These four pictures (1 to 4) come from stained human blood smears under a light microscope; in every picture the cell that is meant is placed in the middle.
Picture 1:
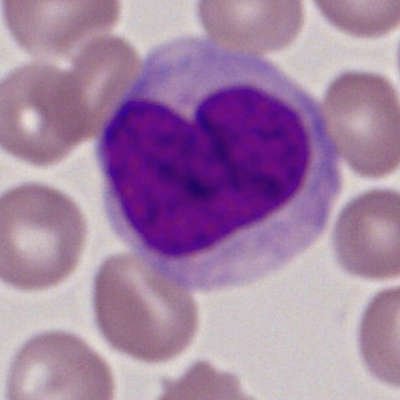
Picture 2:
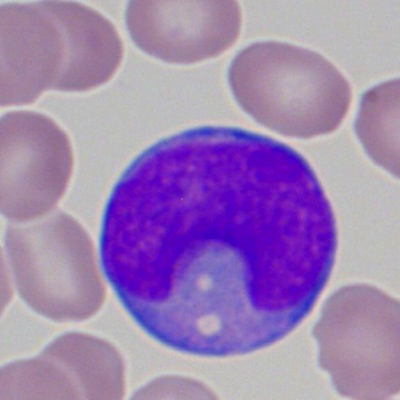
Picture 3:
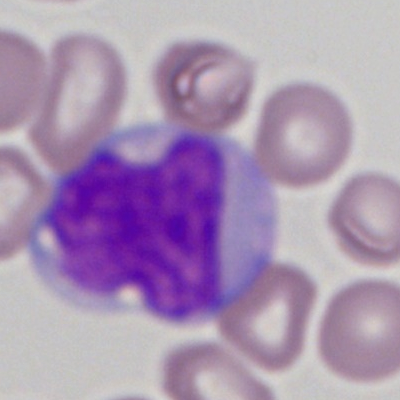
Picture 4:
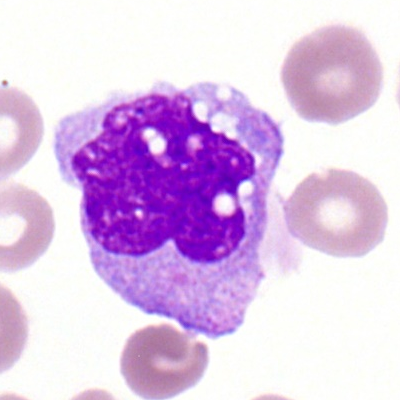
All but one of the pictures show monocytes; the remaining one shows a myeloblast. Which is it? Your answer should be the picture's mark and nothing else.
2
